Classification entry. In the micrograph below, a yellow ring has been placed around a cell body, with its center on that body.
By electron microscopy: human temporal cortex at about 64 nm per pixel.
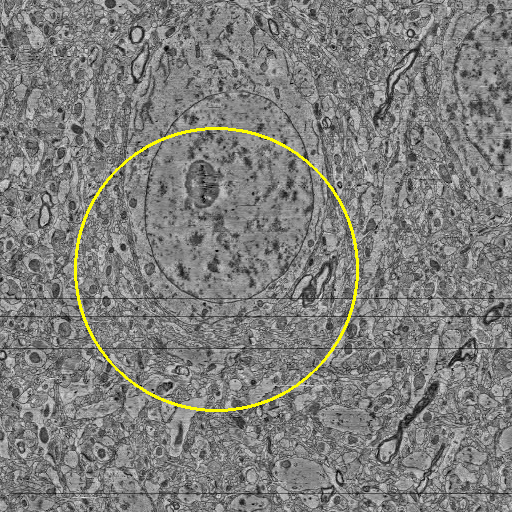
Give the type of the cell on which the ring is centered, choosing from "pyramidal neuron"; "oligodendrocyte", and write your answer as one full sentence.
The cell body at the center of the yellow ring belongs to a pyramidal neuron.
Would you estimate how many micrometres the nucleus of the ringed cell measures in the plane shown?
About 14 micrometres by about 11 micrometres in this plane.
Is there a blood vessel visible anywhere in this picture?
No, there is no blood vessel in the image.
